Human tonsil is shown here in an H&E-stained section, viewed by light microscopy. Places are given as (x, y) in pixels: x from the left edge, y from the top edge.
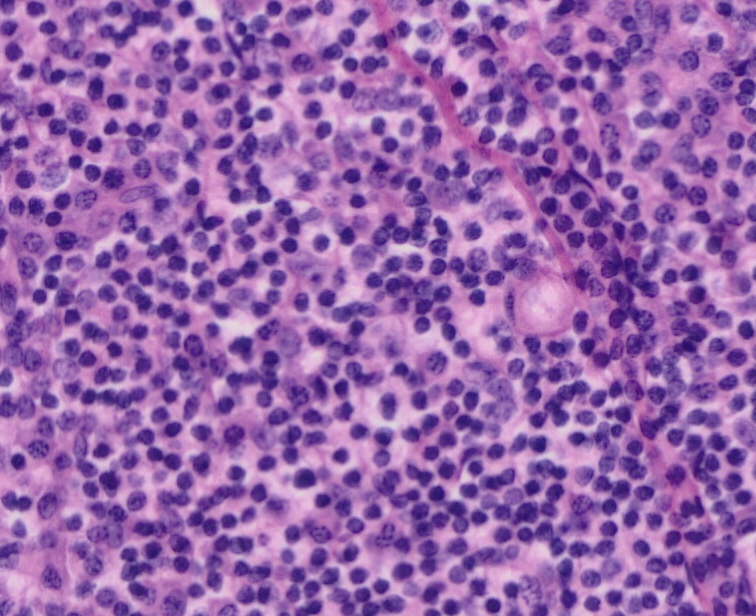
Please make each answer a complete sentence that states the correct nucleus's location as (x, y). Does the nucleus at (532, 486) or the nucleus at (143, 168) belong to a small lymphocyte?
The nucleus at (532, 486) is attributed to a small lymphocyte, unlike the other nucleus.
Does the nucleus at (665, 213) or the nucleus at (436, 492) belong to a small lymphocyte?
It is the nucleus at (436, 492) that belongs to a small lymphocyte.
